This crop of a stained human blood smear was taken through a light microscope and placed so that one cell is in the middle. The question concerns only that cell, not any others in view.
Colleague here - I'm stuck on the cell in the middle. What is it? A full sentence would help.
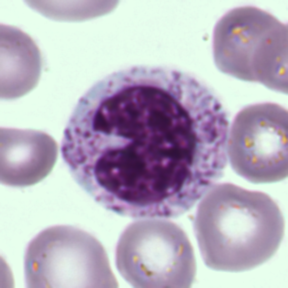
The cell sitting right in the middle is a band neutrophil.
